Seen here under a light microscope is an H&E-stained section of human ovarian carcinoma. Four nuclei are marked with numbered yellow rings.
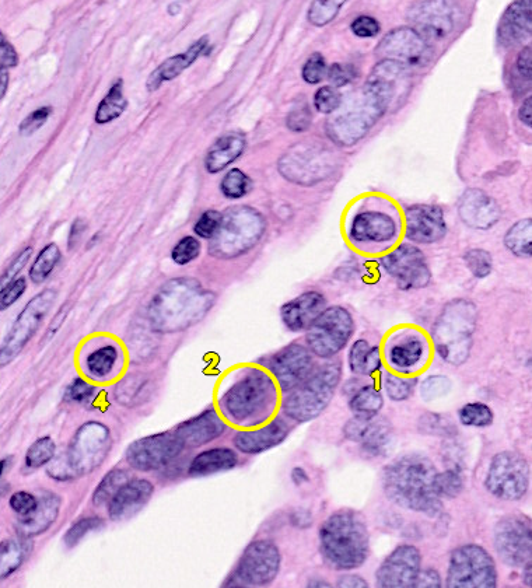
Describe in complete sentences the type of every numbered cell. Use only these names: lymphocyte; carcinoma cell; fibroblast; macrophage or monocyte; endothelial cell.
Cells 1 and 4 are lymphocytes. Cell 2 is a carcinoma cell. Cell 3 is a macrophage or monocyte.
